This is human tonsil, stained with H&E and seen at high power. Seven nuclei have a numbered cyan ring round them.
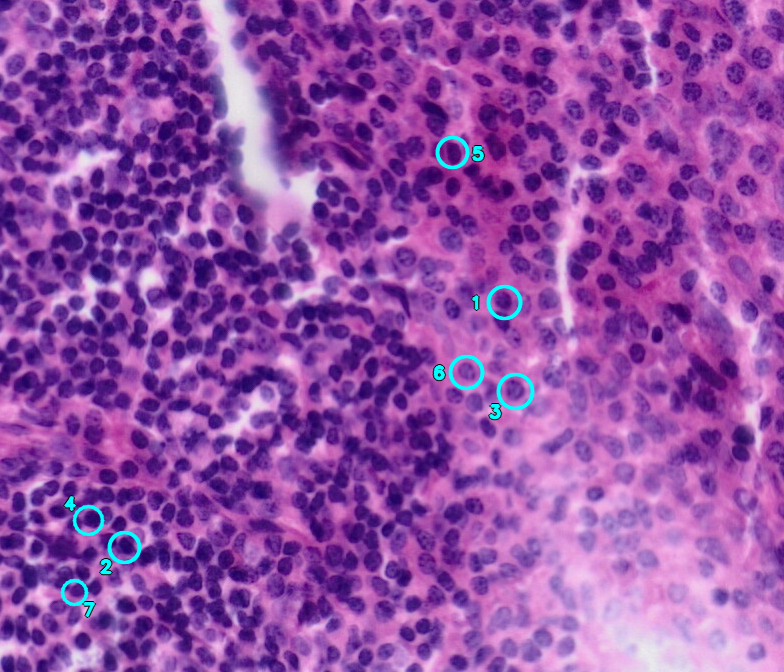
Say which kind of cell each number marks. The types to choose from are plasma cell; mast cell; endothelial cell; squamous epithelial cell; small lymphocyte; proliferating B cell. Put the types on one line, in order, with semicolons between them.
plasma cell; small lymphocyte; plasma cell; small lymphocyte; plasma cell; plasma cell; small lymphocyte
